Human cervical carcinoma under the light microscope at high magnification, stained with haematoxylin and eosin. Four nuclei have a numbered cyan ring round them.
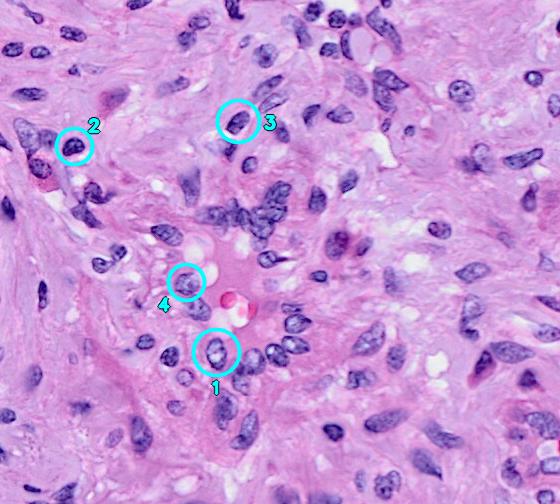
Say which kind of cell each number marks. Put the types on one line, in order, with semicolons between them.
endothelial cell; lymphocyte; lymphocyte; endothelial cell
